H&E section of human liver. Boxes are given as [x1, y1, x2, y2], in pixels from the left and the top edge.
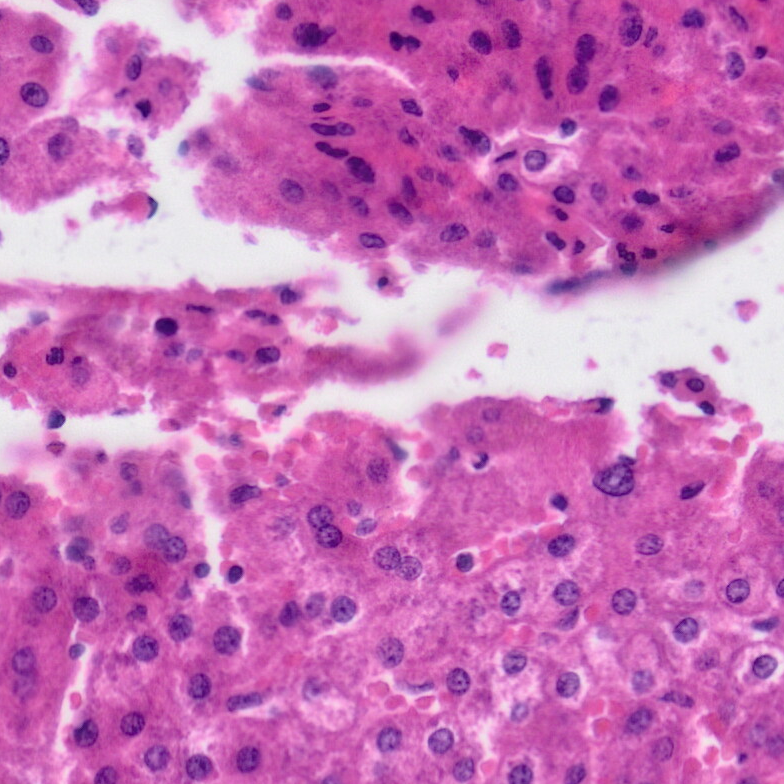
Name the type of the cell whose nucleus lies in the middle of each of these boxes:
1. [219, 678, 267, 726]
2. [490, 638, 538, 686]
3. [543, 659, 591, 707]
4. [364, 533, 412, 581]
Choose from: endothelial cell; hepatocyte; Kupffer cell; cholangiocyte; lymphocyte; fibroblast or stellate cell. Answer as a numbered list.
1. Kupffer cell
2. hepatocyte
3. hepatocyte
4. hepatocyte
